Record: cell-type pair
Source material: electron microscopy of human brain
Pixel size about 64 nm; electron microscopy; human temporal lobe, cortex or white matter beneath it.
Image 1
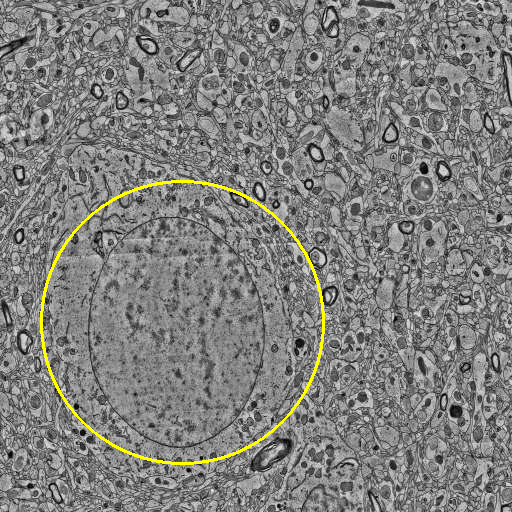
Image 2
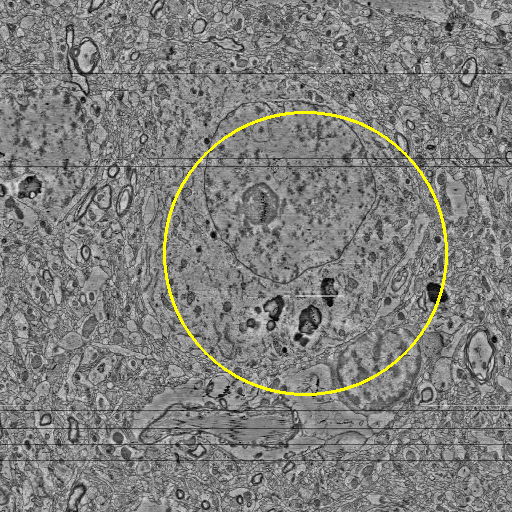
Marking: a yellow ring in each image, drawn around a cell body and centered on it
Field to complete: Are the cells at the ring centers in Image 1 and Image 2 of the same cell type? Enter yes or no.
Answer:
yes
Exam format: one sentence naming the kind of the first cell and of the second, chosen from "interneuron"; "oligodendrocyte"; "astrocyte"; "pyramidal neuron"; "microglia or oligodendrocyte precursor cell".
In the first picture and in the second, the ring is centred on a pyramidal neuron.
